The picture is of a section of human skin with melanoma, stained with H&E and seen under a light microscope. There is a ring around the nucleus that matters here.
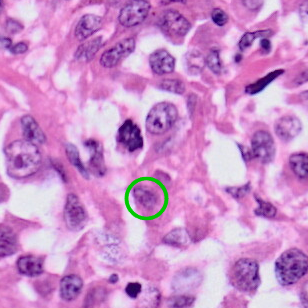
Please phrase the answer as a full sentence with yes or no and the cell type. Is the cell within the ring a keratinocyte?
No, the cell within the ring is a melanoma cell, and it is not a keratinocyte.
